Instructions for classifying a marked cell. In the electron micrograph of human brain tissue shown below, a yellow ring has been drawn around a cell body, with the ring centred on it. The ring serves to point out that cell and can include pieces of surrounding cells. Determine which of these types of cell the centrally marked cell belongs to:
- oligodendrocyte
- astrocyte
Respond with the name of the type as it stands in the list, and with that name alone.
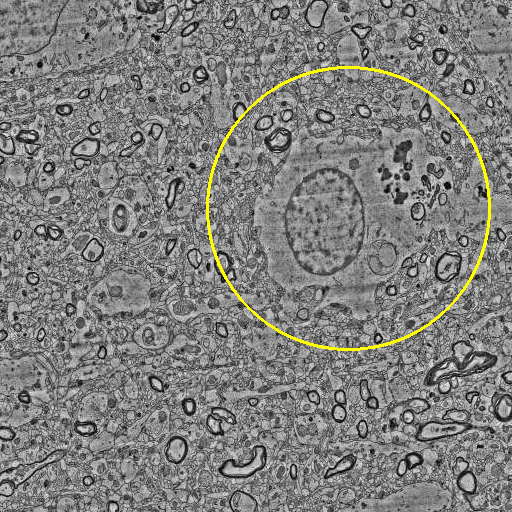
astrocyte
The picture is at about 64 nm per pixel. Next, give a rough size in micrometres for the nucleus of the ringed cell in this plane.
The nucleus has a long axis of about 7 micrometres and a short axis of about 5 micrometres in this plane.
